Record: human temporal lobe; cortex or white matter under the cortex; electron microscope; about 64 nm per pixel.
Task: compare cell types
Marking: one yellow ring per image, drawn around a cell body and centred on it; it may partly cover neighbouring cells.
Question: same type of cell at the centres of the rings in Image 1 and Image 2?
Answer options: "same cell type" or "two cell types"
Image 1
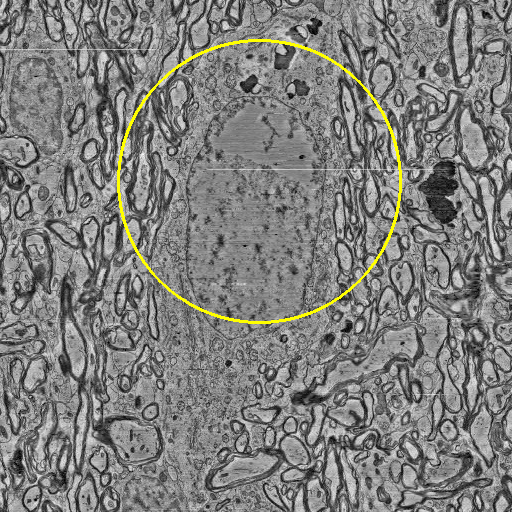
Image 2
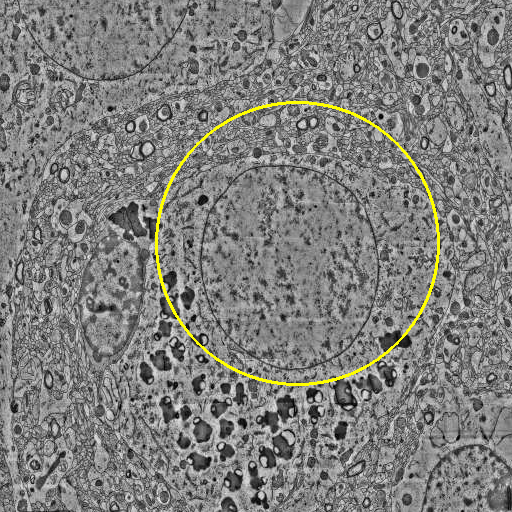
same cell type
